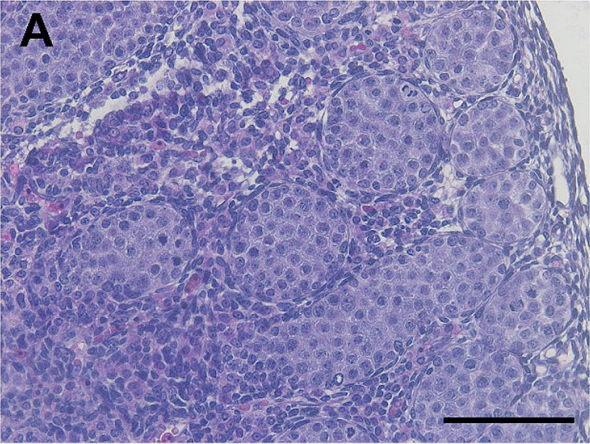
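Within the cords lie many large rounded cells with pale, lightly eosinophilic cytoplasm and round nuclei, packed closely together; smaller cells with darker nuclei lie along the cord edges. The cords have no central opening. Between the cords the interstitium is crowded with small cells with dense, dark-purple nuclei and scant cytoplasm, with a few pinkish spots. Along one edge a thin fibrous capsule with flattened nuclei encloses the tissue.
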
